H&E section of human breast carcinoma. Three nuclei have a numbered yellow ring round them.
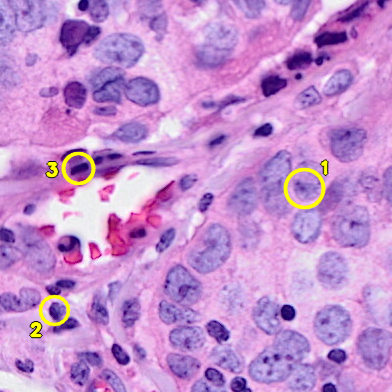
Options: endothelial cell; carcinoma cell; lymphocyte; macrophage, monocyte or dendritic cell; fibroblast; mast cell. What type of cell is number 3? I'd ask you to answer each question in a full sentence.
The marked cell bearing number 3 is an endothelial cell.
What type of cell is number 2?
The cell that carries the label 2 is a lymphocyte.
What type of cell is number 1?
Denoted by the label 1 in the section is a carcinoma cell.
